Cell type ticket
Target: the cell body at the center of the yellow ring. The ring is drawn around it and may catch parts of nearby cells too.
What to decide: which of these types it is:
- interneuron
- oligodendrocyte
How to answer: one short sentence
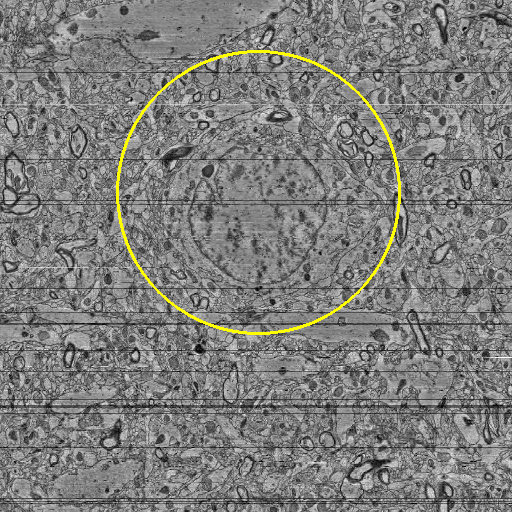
The cell at the center of the ring is an interneuron.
